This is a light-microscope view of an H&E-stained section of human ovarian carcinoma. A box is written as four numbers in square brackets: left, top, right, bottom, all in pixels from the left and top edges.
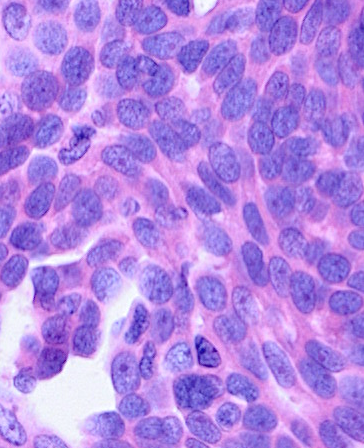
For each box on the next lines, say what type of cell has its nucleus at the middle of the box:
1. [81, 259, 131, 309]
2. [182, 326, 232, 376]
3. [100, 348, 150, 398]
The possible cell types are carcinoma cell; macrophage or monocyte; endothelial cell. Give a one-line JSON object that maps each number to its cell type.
{"1": "carcinoma cell", "2": "macrophage or monocyte", "3": "carcinoma cell"}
